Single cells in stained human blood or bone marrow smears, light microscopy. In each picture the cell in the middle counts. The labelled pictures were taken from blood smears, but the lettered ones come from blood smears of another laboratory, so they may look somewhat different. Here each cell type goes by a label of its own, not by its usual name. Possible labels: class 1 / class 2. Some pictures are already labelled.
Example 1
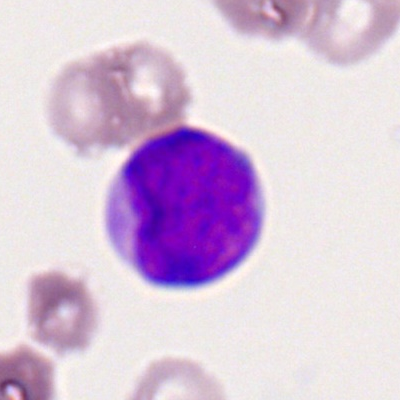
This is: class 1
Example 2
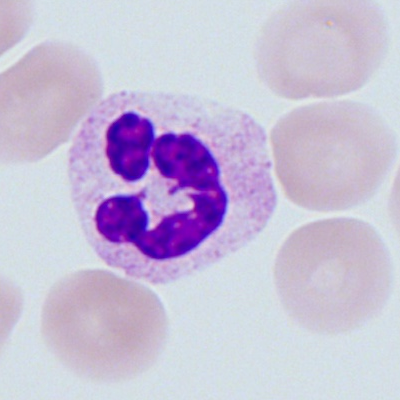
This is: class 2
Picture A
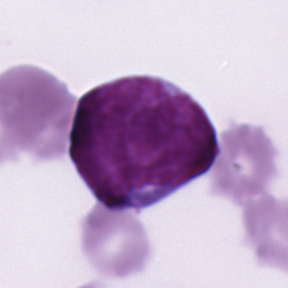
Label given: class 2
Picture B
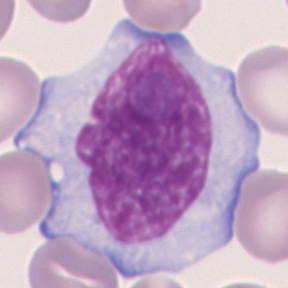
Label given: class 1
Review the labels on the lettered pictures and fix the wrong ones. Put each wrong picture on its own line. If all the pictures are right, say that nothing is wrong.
Wrong: A (class 2); correct: class 1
